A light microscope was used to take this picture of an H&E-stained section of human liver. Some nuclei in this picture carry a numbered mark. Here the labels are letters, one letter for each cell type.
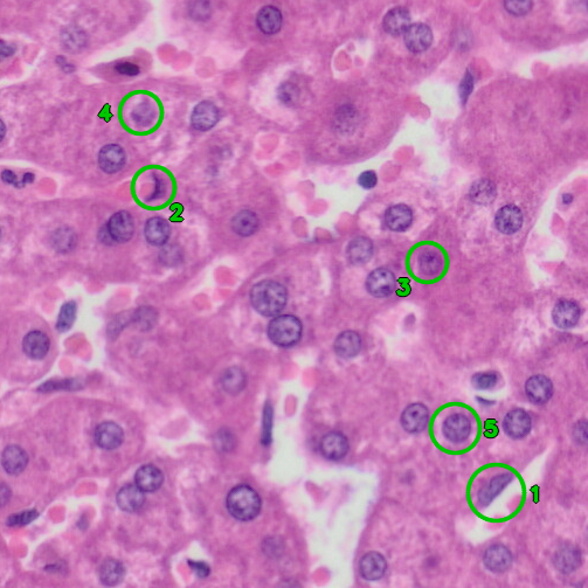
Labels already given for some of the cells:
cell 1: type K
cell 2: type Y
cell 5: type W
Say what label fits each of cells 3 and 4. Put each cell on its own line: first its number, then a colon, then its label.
3: type W
4: type W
